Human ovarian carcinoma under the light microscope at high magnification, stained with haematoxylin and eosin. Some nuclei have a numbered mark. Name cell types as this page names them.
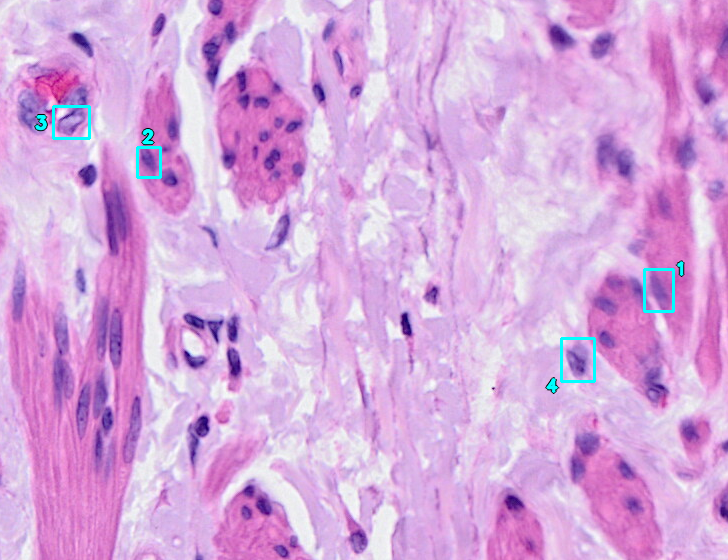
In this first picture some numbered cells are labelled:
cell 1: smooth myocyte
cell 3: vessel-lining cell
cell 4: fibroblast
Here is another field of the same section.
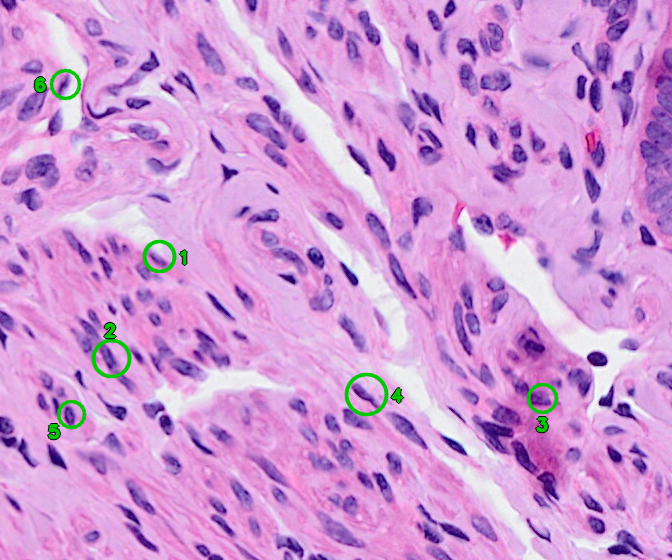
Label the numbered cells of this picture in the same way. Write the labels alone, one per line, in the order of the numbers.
smooth myocyte
smooth myocyte
smooth myocyte
fibroblast
smooth myocyte
vessel-lining cell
